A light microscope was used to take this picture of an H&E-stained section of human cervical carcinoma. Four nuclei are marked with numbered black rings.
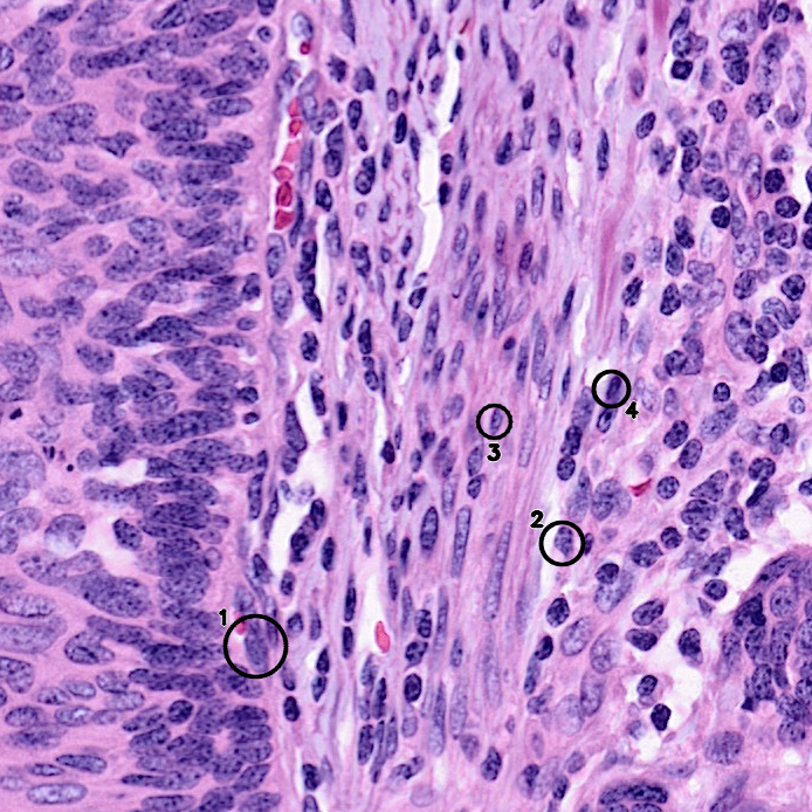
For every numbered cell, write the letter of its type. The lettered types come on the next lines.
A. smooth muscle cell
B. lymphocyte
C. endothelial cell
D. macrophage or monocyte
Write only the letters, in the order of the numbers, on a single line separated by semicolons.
C; B; A; B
